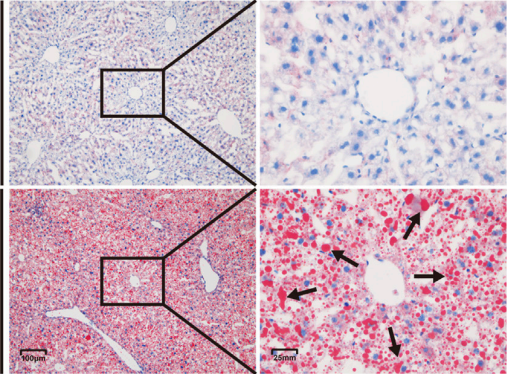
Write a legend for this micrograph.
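In the upper row the tissue is pale with blue nuclei and little or no red staining. In the lower row red droplets of varied size fill much of the tissue, giving the whole low-magnification field a red tone. In the enlarged lower image the red droplets crowd around the blue nuclei and a central vessel, and black arrows point to several of them.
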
